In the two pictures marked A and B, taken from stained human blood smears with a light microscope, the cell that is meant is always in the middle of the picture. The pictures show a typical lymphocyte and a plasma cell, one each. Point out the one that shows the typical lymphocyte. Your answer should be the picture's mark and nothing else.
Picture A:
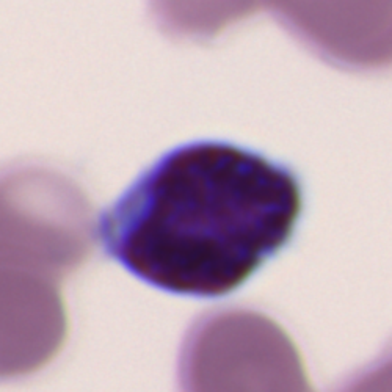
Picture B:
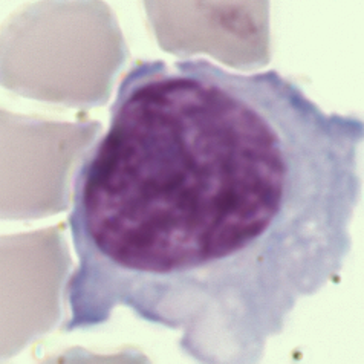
A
